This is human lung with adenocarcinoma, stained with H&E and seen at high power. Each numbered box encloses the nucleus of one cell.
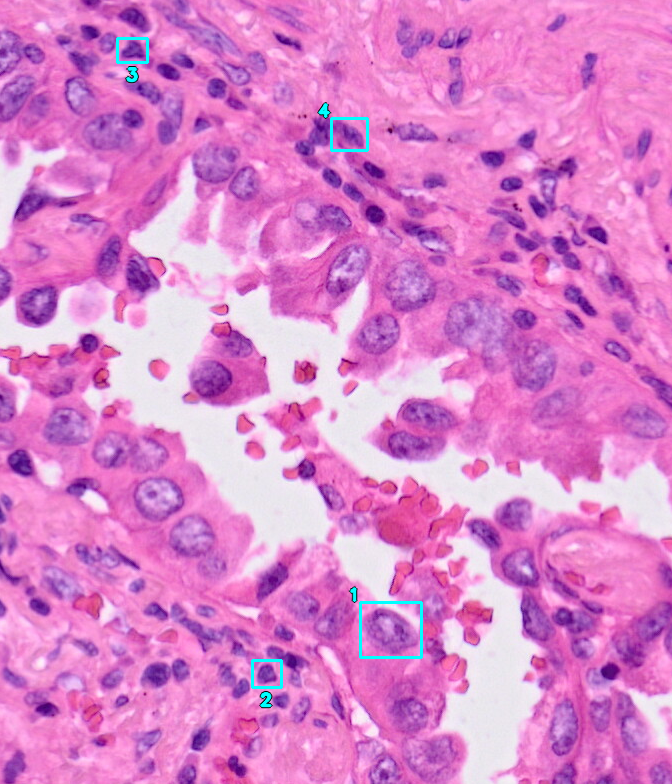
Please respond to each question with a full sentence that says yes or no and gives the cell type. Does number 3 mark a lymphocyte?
No, number 3 marks a plasma cell rather than a lymphocyte.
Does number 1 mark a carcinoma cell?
Yes, what number 1 marks is a carcinoma cell.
